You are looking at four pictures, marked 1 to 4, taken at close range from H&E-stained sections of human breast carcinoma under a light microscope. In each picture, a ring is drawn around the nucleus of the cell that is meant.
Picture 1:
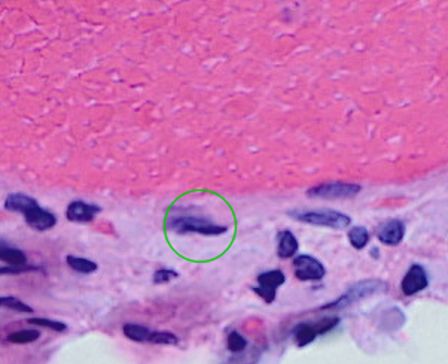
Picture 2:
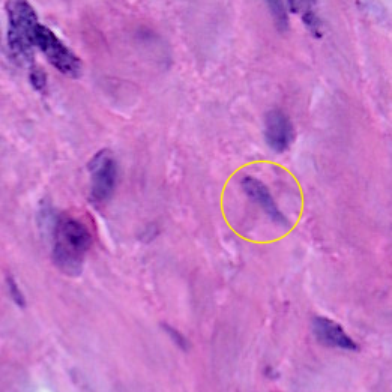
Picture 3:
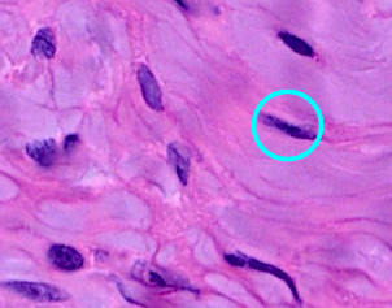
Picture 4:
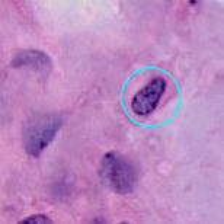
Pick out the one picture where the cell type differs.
4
